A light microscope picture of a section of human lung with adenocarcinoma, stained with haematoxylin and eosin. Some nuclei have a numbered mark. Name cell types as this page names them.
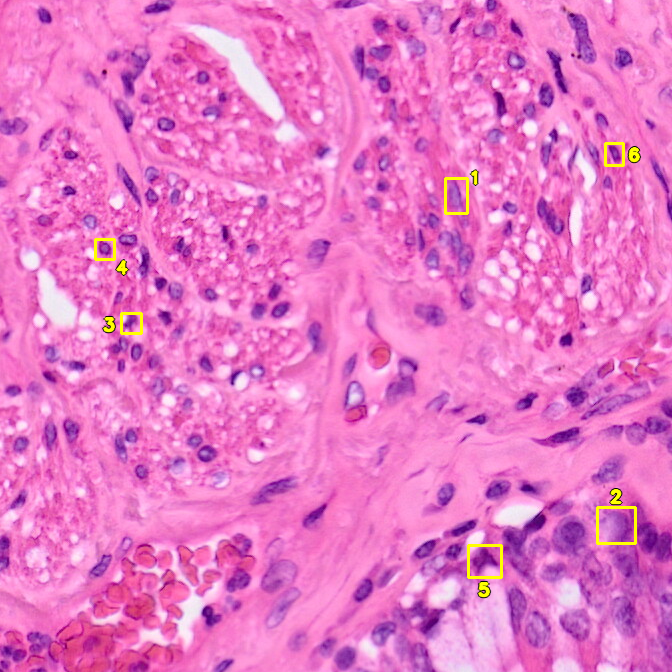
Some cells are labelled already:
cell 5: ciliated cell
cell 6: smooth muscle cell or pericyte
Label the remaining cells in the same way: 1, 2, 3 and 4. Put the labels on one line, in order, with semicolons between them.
smooth muscle cell or pericyte; ciliated cell; smooth muscle cell or pericyte; smooth muscle cell or pericyte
